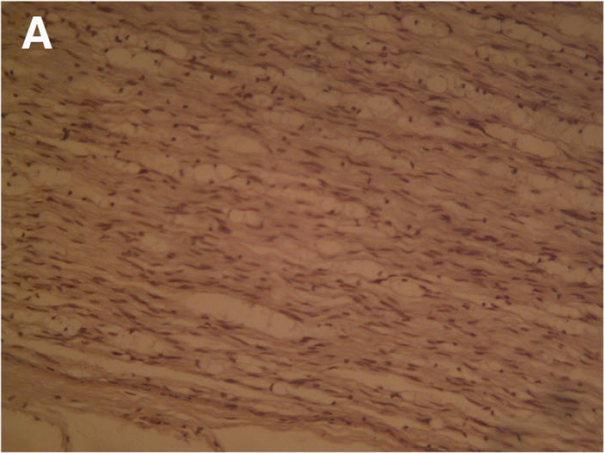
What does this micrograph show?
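This longitudinal section of peripheral nerve shows nerve fibers running closely packed and parallel to one another across the field. Numerous elongated, dark purple nuclei, many of them Schwann cell nuclei, lie along the fibers, oriented in the same direction. The fibers stain pink-brown and form a dense, fairly regular striated pattern. Scattered among them are small clear, rounded to oval spaces that line up along the fiber direction.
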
